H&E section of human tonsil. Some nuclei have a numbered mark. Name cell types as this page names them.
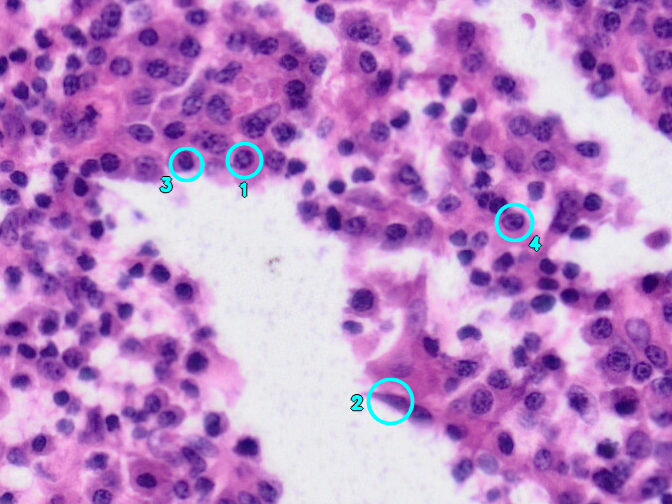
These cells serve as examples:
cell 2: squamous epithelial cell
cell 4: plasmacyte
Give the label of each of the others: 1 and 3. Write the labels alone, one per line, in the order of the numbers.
plasmacyte
plasmacyte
